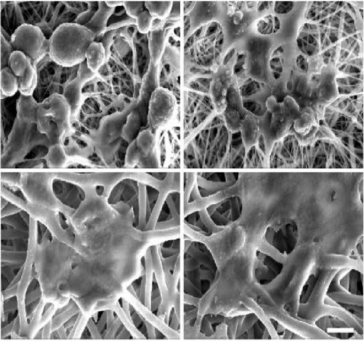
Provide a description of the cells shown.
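In the upper row the mesh is a dense web of very thin fibers, and the cells lie on top of it as rounded bodies or small irregular clusters with short extensions. In the lower row the fibers are much thicker and more widely spaced, and the cells are flattened and spread, draping over and wrapping around individual fibers.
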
